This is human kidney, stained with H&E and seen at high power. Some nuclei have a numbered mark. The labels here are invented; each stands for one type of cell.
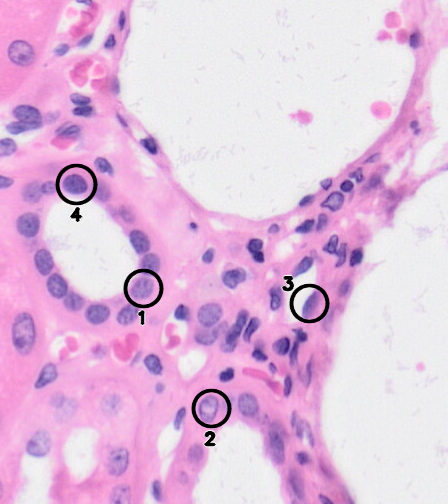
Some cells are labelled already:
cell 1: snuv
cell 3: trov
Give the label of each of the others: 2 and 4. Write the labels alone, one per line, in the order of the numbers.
snuv
snuv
